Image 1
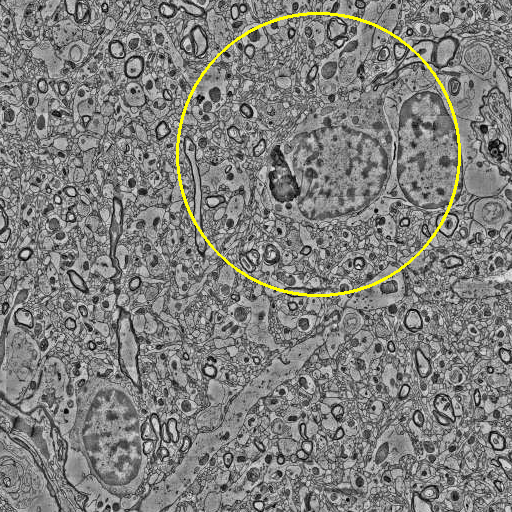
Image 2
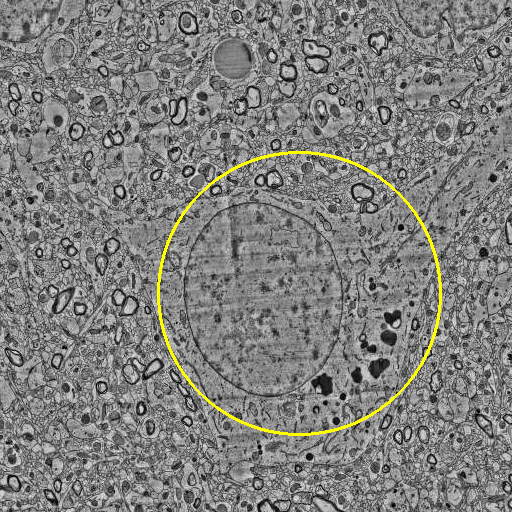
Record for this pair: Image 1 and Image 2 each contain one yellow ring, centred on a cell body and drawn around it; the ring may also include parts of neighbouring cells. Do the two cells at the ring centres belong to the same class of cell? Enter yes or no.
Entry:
no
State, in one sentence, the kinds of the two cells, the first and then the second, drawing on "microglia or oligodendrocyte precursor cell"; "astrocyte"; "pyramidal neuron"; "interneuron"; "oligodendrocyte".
The ring in the second picture is centred on a pyramidal neuron, the ring in the first on an oligodendrocyte.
